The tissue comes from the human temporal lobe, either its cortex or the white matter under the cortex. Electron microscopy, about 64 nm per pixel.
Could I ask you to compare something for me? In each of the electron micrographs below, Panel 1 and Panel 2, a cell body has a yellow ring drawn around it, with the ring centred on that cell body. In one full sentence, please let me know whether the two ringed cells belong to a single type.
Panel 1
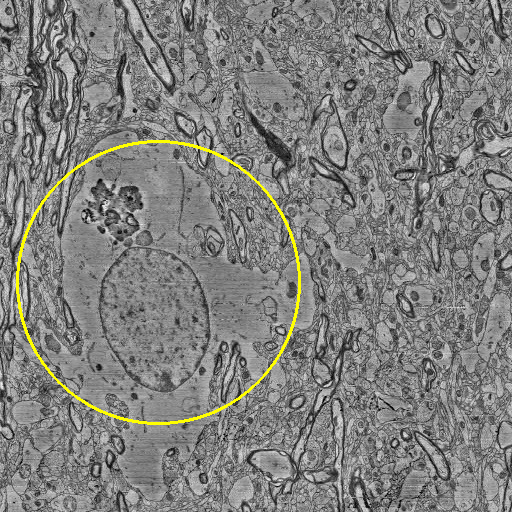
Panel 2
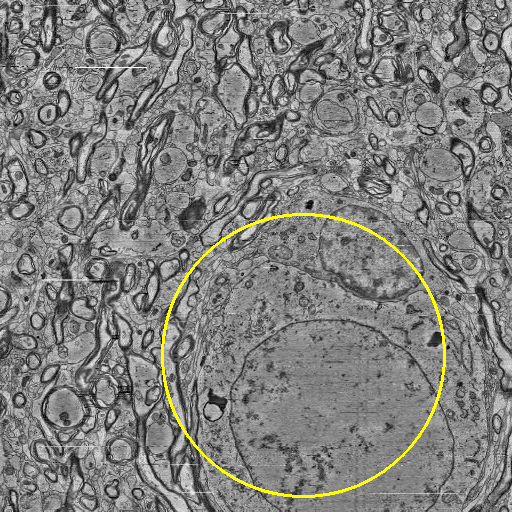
No, the two cells at the centres of the rings are of two types.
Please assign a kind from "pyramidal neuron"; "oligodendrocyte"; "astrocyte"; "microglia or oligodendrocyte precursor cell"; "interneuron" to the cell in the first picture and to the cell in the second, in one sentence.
In the first picture we have an astrocyte, and in the second, a pyramidal neuron.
